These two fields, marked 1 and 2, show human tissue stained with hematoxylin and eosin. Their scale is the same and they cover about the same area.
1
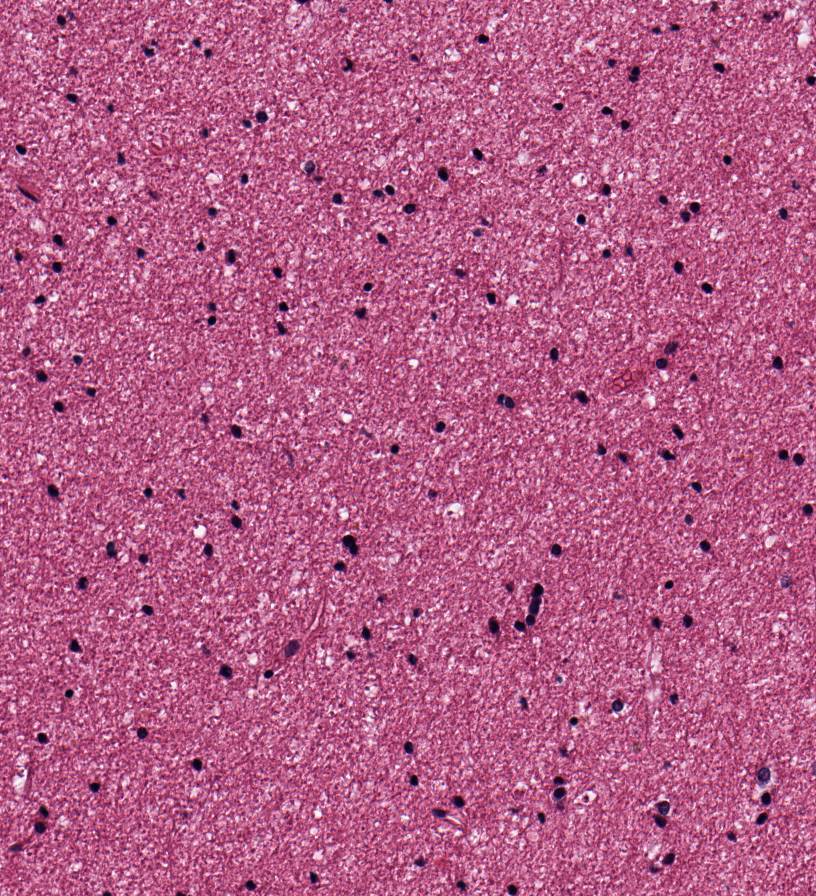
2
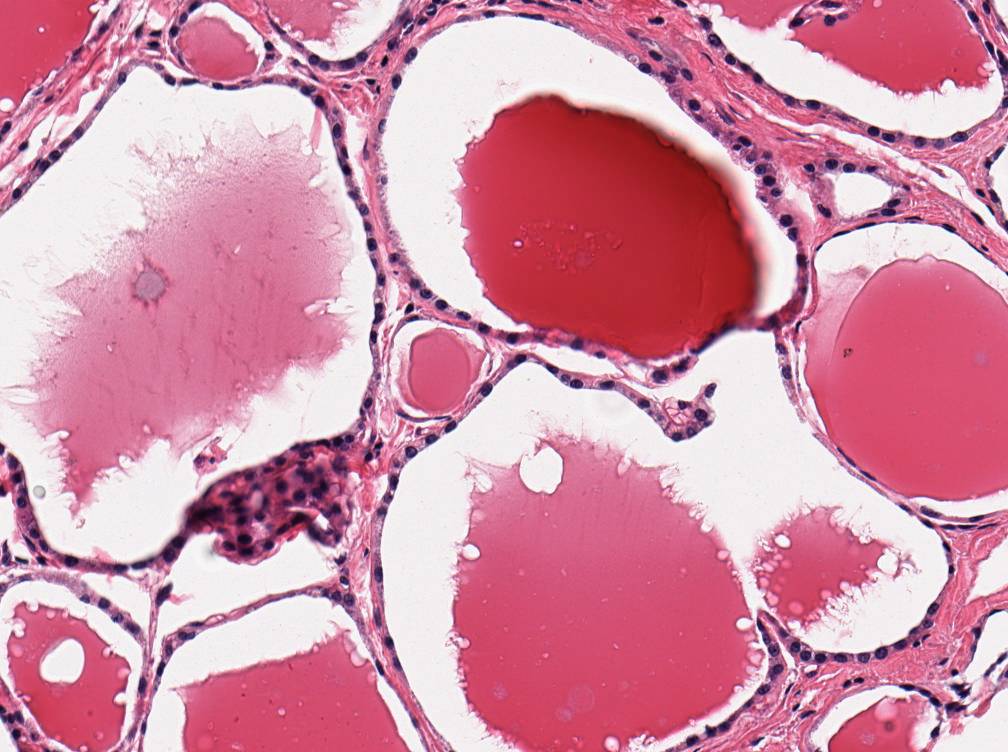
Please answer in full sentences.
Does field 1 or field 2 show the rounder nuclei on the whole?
The nuclei are rounder in field 1.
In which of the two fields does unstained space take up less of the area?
Less of field 1 is empty and white.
